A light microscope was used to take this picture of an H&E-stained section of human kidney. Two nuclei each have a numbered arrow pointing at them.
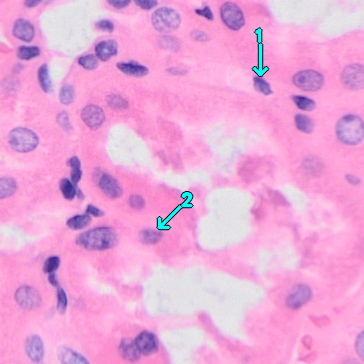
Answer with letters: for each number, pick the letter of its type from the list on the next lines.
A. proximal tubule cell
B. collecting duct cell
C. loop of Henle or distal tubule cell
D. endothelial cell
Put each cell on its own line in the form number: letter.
1: D
2: A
